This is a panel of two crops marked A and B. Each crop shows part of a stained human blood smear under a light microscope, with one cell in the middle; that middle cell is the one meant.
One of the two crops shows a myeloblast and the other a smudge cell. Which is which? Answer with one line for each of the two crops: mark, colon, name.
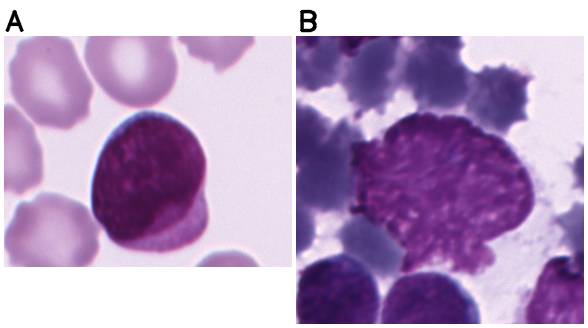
A: myeloblast
B: smudge cell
